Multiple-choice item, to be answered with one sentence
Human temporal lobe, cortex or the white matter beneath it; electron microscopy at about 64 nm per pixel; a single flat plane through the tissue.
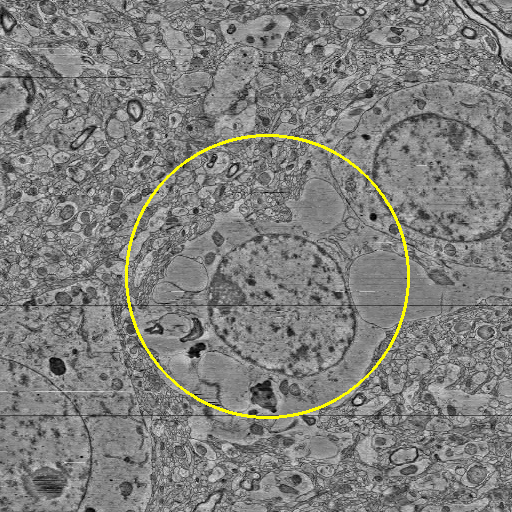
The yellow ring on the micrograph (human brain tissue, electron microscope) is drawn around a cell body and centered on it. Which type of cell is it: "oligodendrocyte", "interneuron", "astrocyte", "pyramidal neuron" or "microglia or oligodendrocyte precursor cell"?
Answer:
The ring is centered on an astrocyte.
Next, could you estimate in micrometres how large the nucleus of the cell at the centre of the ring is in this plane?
In this plane, roughly 9 micrometres across.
